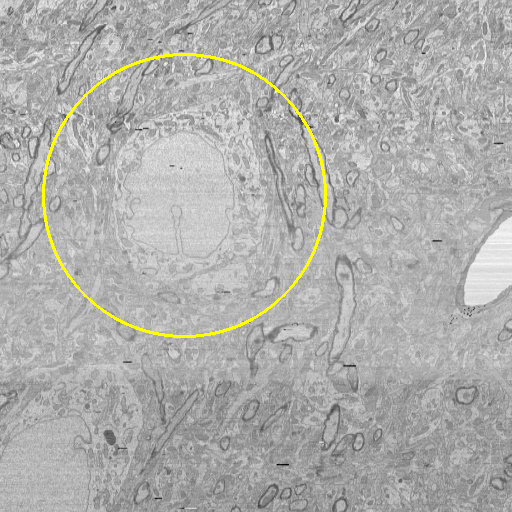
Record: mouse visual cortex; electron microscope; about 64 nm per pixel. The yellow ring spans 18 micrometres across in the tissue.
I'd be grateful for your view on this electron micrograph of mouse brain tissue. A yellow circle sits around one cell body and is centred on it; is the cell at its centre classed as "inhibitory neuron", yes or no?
yes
